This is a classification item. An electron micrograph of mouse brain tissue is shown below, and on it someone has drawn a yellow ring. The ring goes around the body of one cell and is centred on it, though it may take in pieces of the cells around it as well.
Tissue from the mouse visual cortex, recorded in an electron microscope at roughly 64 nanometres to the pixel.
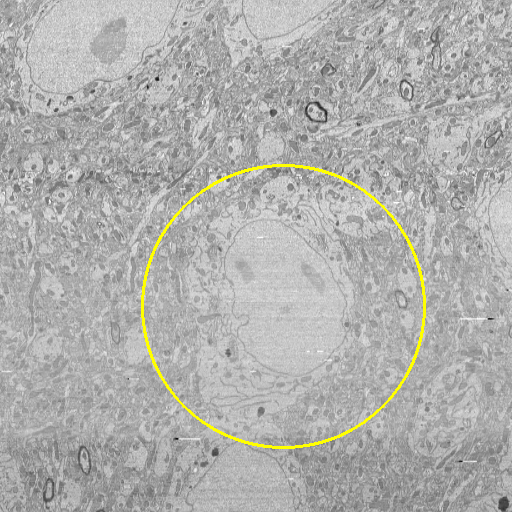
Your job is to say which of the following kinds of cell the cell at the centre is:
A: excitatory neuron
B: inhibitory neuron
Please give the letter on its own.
A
